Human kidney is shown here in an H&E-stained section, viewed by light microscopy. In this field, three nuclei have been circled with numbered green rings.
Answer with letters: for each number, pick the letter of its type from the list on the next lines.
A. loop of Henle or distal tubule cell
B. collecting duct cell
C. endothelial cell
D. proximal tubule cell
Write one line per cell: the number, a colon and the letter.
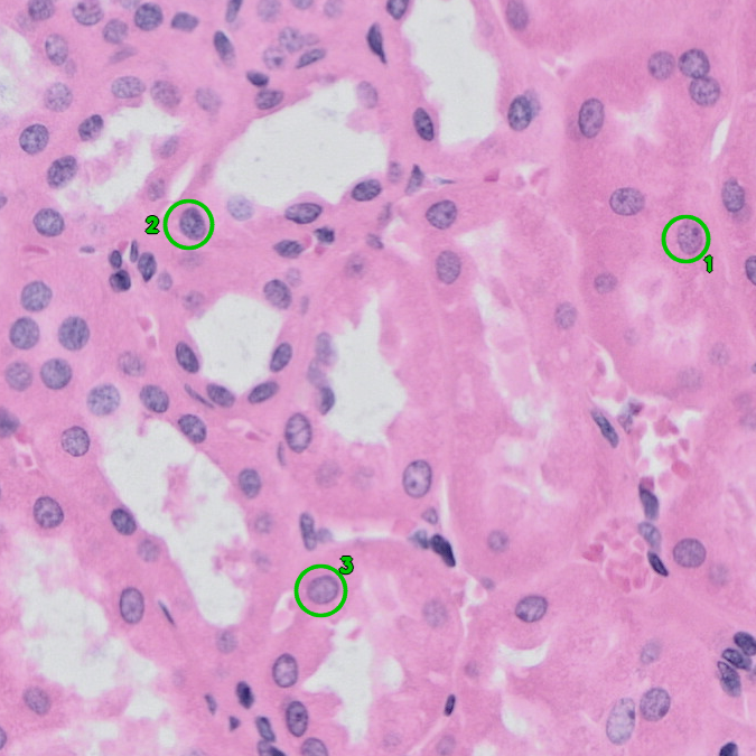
1: D
2: A
3: D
